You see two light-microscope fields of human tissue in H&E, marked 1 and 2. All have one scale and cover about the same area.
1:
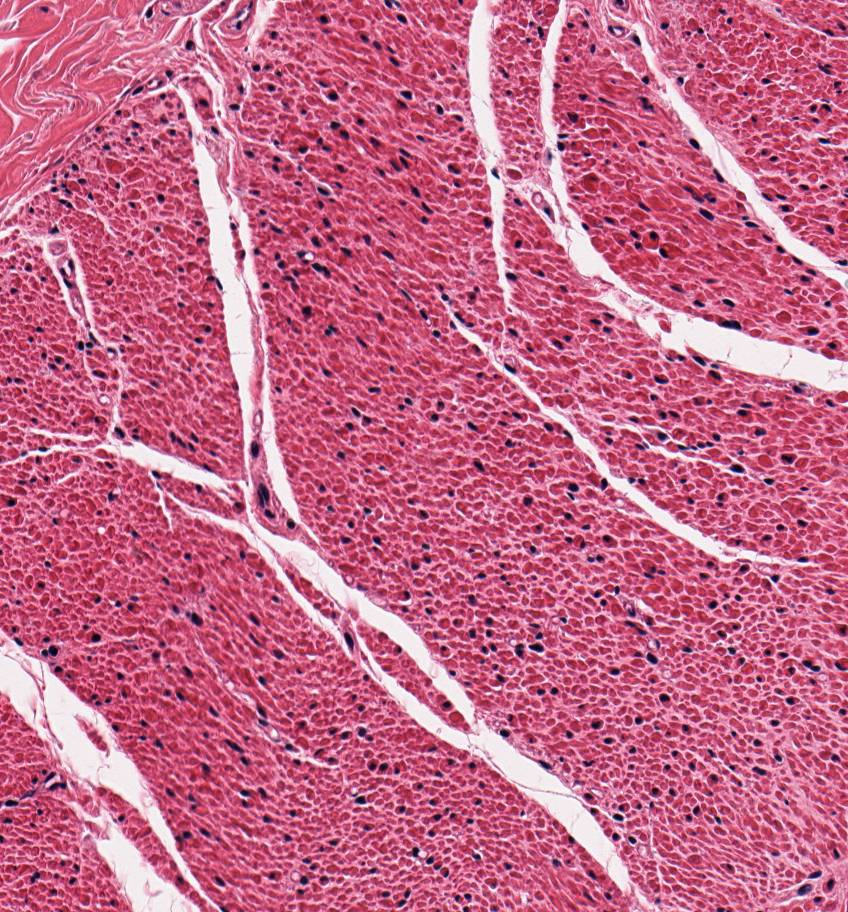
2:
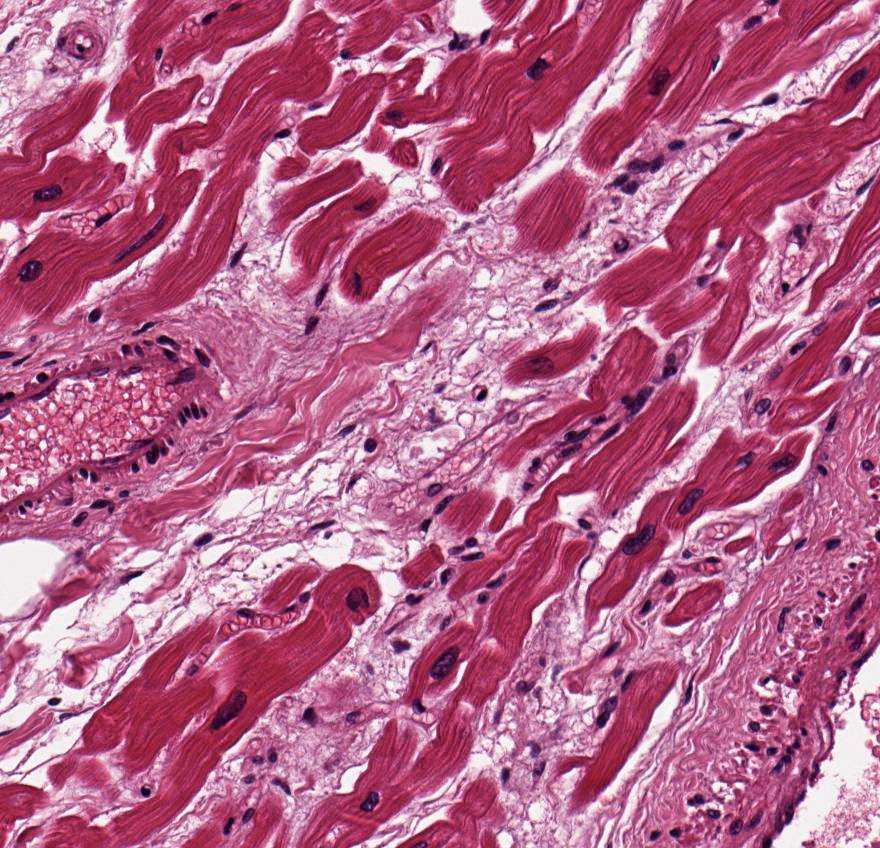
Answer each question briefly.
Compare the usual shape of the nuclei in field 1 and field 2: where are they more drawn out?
2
